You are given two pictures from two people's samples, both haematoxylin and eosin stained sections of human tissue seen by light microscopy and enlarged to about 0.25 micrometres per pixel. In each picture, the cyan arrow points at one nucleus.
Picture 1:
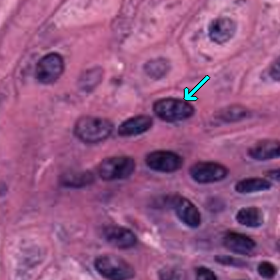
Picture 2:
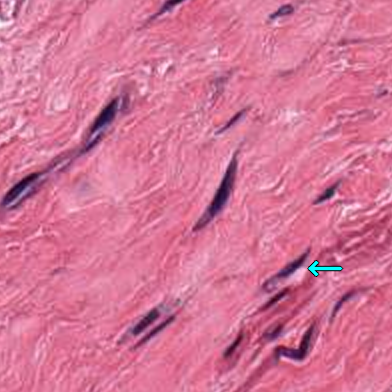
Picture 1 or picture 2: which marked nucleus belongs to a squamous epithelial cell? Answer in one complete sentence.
Of the two pictures, picture 1 is the one in which the marked nucleus belongs to a squamous epithelial cell.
